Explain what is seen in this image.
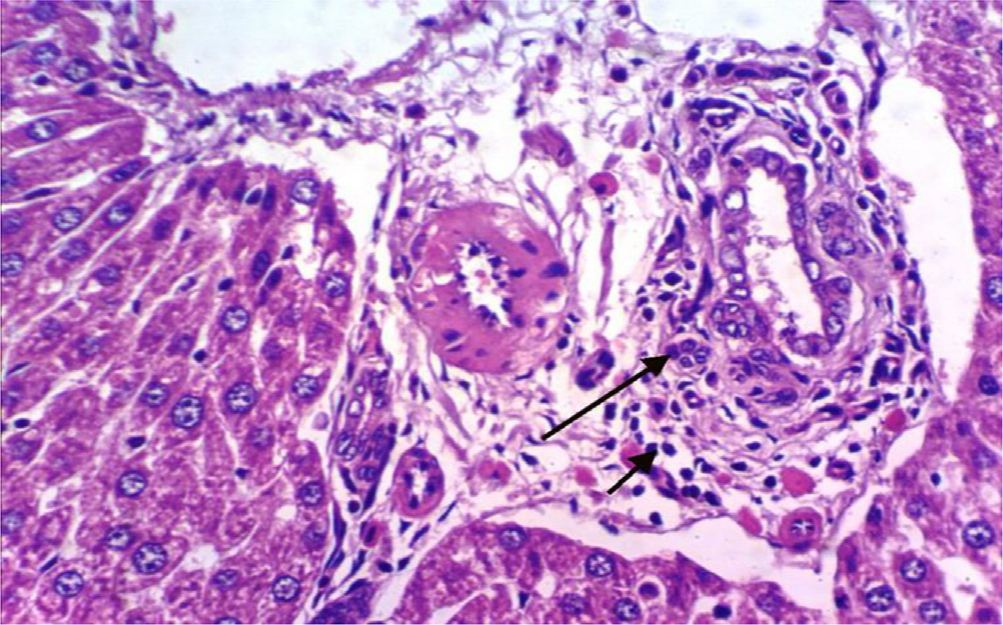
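Liver with a portal triad among plates of hepatocytes. The hepatocytes are large and polygonal, with round central nuclei, prominent nucleoli and granular pink cytoplasm. The central portal area is loose connective tissue with many spindle-shaped fibroblast-like cells and scattered small dark round cells. It contains a small artery with a thick pink muscular wall and a narrow lumen. Beside the artery is a duct lined by cuboidal epithelium. Nearby are small clusters of cuboidal cells forming ductular profiles.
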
